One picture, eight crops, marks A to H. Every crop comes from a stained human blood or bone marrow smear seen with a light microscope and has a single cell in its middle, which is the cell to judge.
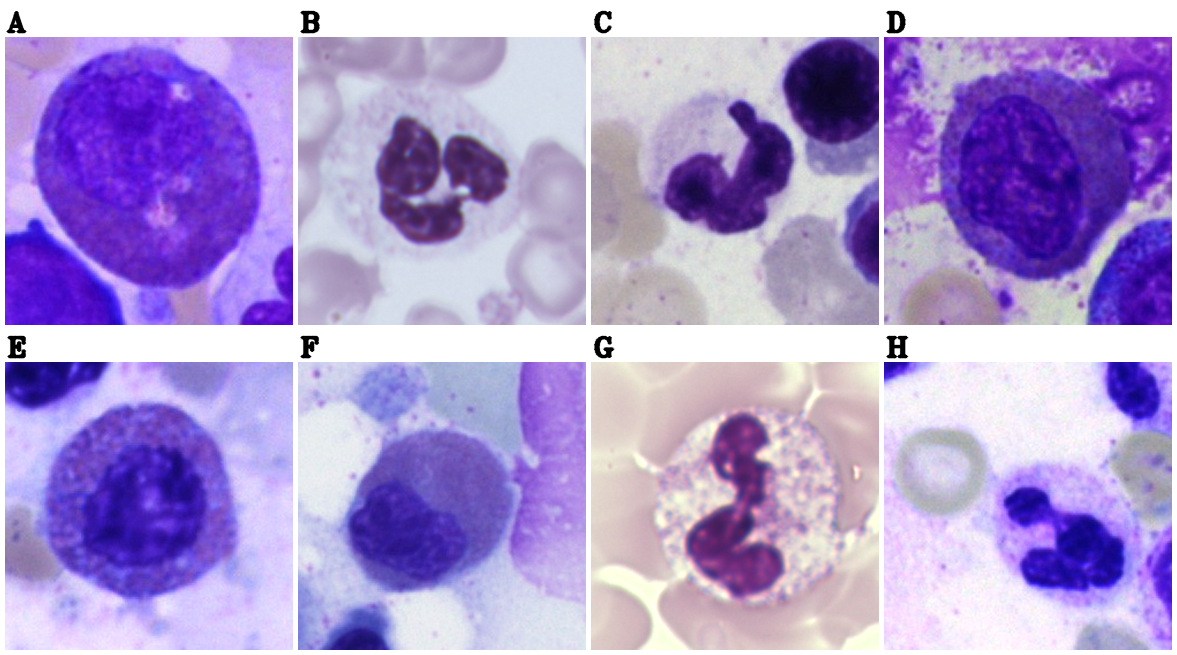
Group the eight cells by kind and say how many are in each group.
eosinophil: 4
segmented neutrophil: 4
